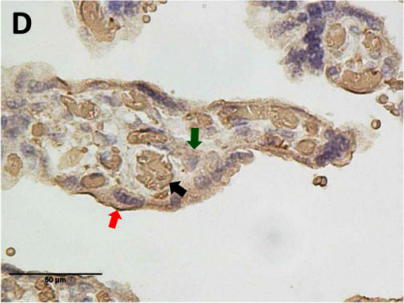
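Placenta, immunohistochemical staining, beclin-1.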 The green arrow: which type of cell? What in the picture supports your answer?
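The arrow points at a cell in the loose core of the villus, beneath the surface layer. So: mesenchymal cells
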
